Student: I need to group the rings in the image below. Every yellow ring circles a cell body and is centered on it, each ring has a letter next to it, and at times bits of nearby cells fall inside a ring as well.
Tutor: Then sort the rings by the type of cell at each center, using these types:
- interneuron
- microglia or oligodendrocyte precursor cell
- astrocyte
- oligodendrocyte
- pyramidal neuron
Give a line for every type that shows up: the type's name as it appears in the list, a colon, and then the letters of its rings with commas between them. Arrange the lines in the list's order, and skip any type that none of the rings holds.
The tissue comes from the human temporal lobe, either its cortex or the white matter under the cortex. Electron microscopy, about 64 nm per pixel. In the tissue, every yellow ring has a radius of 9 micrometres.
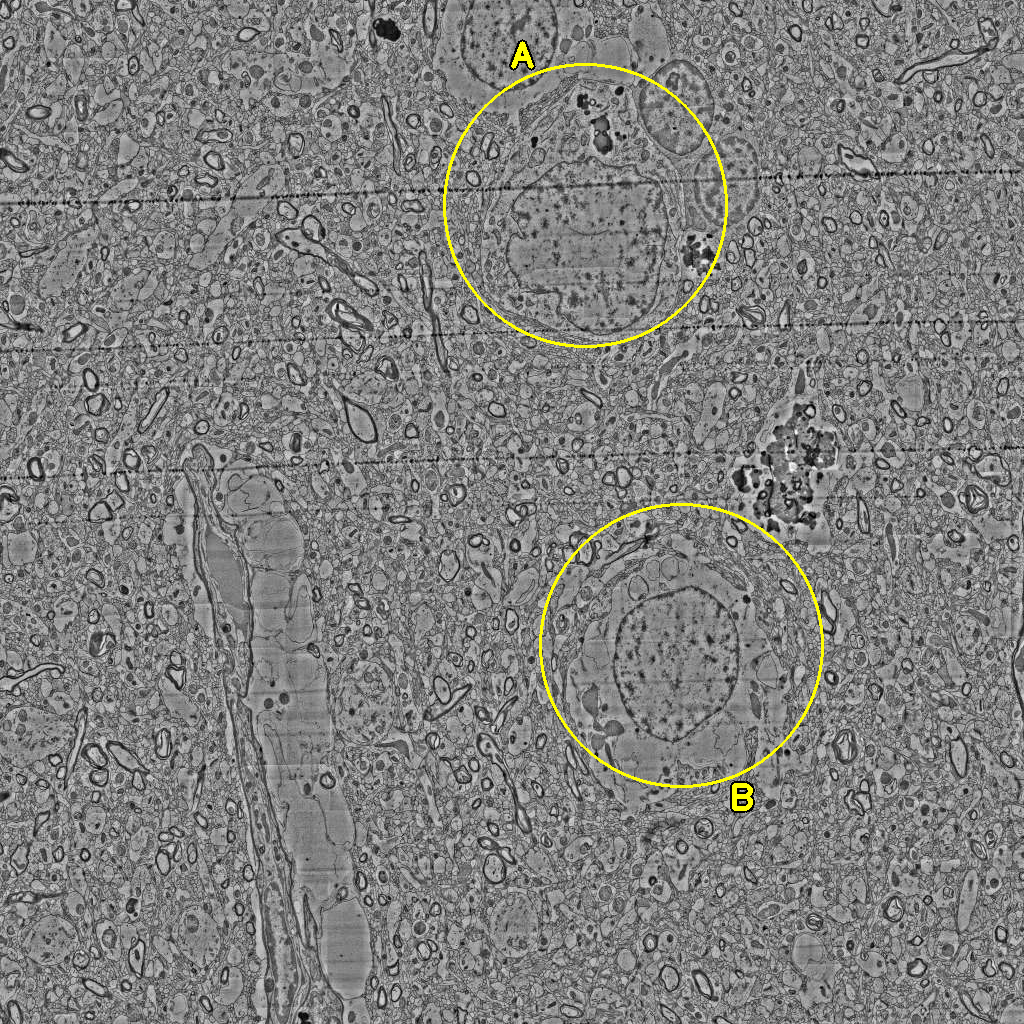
interneuron: A
astrocyte: B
